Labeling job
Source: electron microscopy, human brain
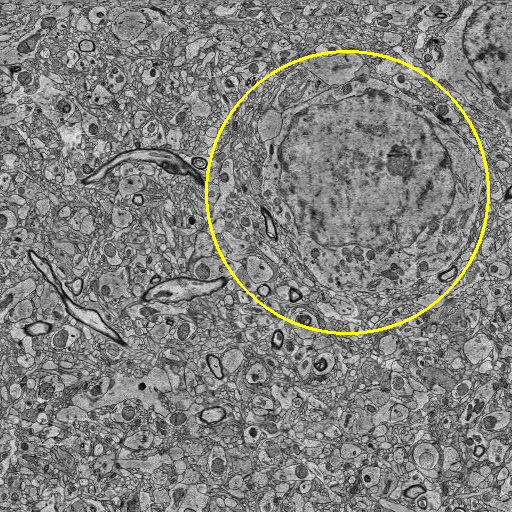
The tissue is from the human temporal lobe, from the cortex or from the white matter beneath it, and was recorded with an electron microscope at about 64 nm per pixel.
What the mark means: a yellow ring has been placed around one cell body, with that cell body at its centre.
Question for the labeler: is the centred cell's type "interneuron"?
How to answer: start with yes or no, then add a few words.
Yes, that is its type.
